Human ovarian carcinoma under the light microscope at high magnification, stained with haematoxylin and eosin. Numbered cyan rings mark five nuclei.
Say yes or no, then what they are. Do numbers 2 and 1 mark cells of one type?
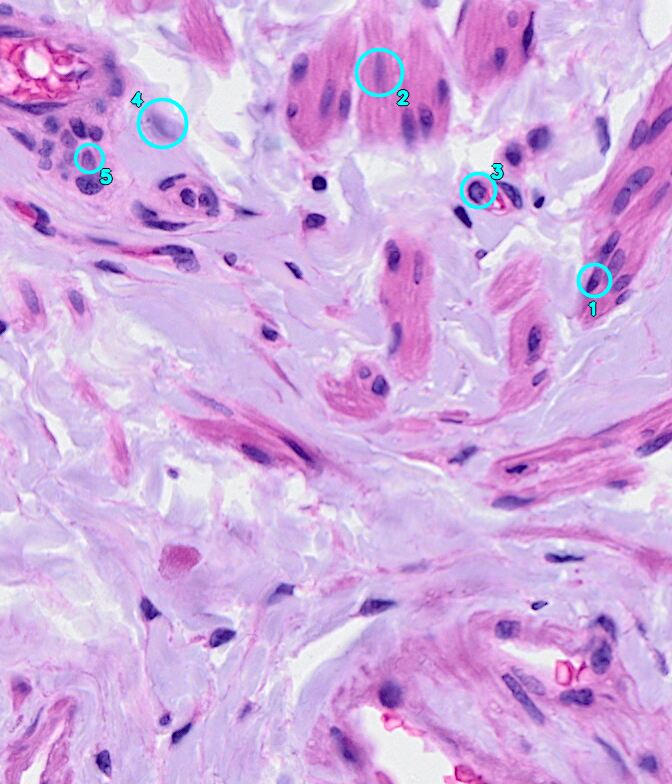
Yes, in this section cells 2 and 1 are both smooth muscle cells.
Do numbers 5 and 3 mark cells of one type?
Yes, the cells bearing numbers 5 and 3 are both endothelial cells.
